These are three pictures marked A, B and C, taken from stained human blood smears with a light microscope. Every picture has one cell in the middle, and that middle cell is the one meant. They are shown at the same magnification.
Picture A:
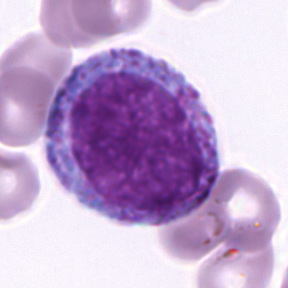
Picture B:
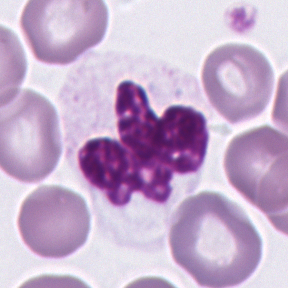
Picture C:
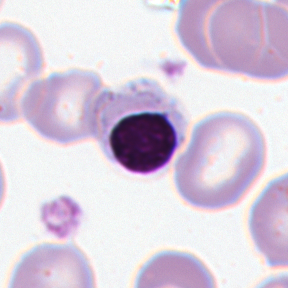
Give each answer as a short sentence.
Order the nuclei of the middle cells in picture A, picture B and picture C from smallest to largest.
Smallest first: C, B, A.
